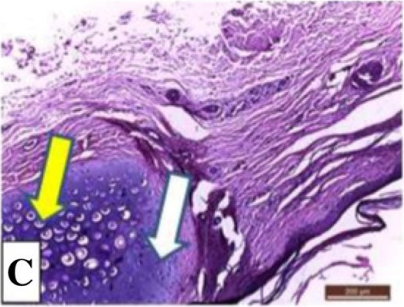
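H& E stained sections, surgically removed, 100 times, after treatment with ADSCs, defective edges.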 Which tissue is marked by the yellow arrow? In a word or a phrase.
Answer: Deep purple original cartilage.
